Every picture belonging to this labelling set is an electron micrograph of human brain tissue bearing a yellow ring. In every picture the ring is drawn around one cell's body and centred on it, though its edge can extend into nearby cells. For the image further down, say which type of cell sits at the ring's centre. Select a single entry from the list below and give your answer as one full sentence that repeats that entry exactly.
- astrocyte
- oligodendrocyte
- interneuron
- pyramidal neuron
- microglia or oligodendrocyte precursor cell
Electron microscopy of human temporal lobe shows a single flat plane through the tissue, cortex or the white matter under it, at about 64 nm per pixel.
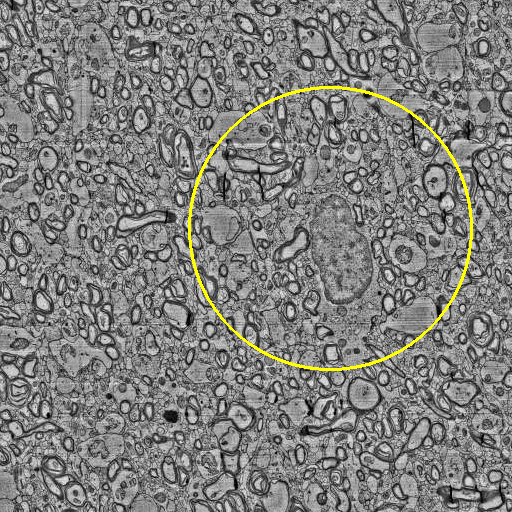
In the picture, an oligodendrocyte is the cell at the centre of the yellow ring.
